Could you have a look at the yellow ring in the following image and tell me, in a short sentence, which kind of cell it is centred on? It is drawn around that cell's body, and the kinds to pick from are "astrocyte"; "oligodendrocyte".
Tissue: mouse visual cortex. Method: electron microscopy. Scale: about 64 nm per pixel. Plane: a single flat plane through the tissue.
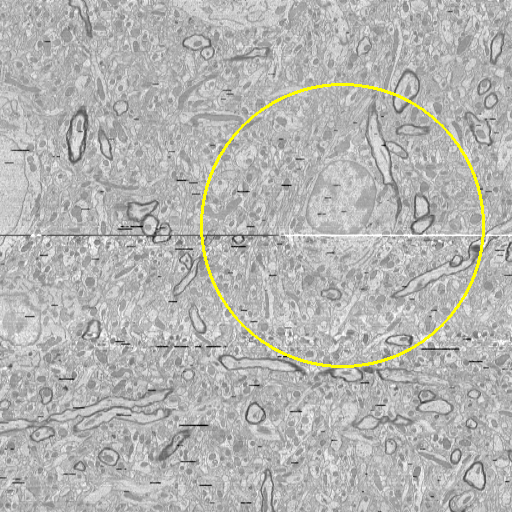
The ring is centred on the body of an oligodendrocyte.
